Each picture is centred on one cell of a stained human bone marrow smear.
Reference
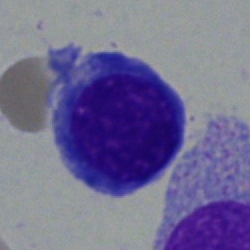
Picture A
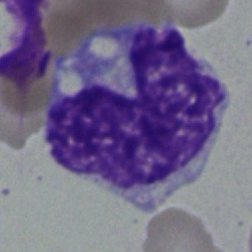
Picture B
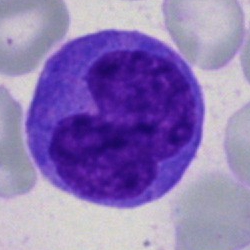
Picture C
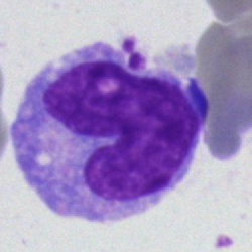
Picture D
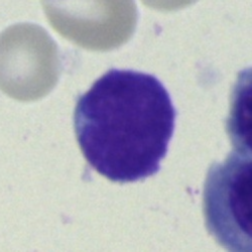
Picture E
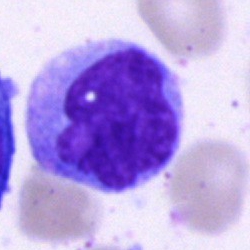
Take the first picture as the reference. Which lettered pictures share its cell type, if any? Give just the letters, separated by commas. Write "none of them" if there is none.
none of them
